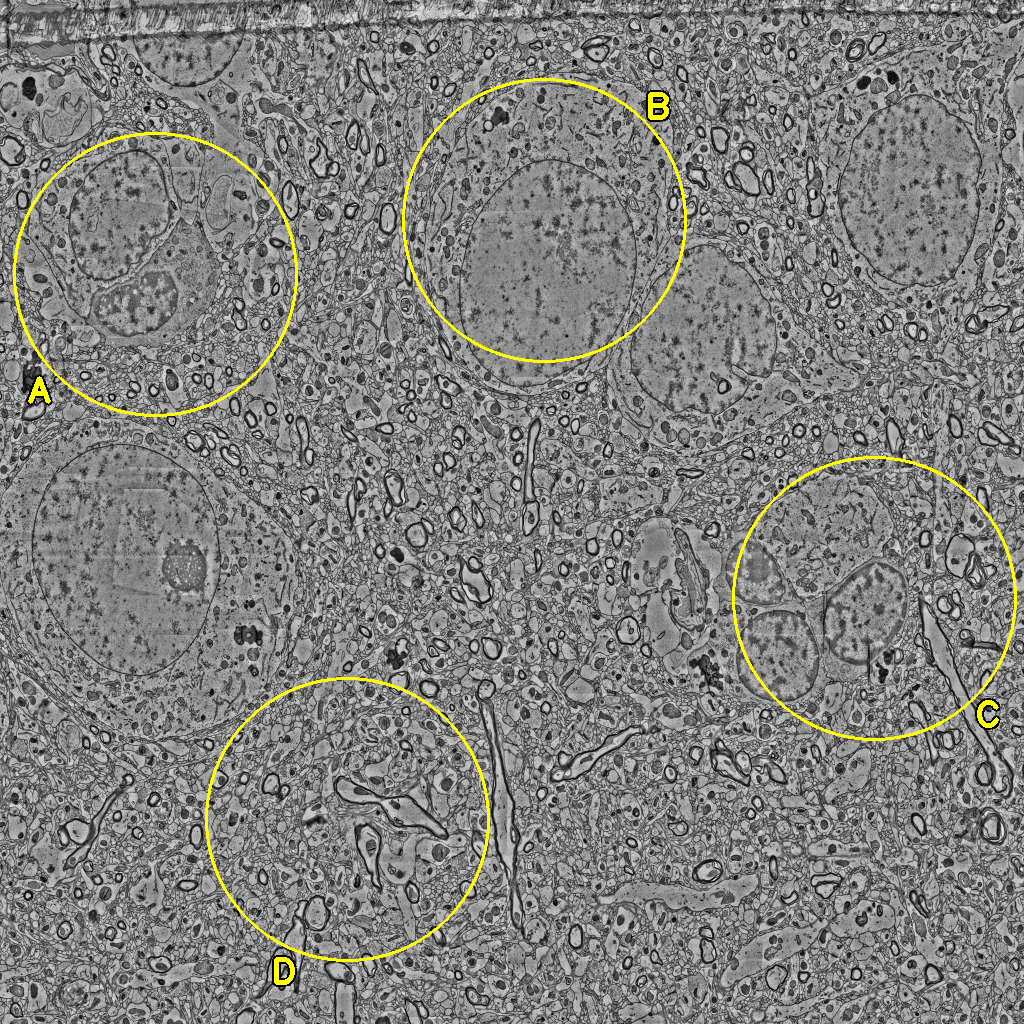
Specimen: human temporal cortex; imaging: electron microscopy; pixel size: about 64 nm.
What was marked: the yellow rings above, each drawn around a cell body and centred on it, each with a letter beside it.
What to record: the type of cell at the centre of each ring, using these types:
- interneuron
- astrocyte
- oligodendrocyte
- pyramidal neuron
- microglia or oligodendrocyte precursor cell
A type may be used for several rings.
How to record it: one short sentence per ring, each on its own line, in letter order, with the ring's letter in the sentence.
Centred in ring A is an oligodendrocyte.
Centred in ring B is a pyramidal neuron.
Centred in ring C is an oligodendrocyte.
Centred in ring D is an oligodendrocyte.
